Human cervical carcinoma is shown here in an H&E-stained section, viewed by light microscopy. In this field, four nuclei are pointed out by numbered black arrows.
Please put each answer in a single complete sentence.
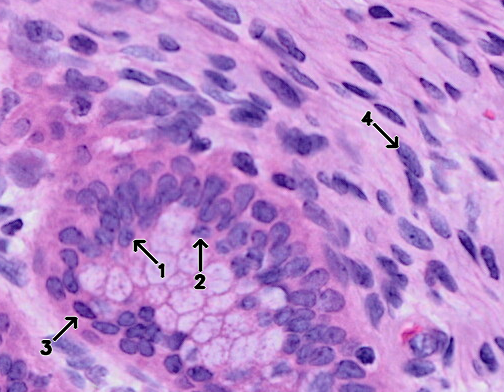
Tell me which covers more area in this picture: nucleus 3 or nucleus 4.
The larger nucleus is 4, at roughly 2 times the area of 3.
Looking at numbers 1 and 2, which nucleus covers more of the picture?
The larger nucleus is 1, at roughly 1.5 times the area of 2.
